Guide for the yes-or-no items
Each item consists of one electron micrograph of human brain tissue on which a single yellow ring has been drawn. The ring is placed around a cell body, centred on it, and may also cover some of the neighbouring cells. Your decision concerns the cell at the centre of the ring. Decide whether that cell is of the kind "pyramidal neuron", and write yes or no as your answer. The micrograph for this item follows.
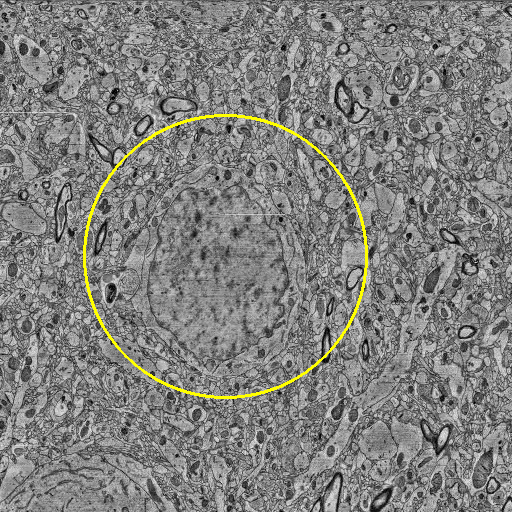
no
